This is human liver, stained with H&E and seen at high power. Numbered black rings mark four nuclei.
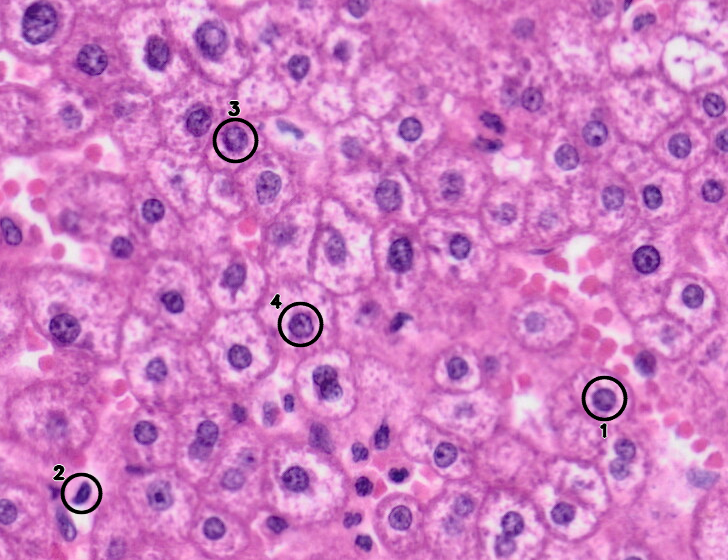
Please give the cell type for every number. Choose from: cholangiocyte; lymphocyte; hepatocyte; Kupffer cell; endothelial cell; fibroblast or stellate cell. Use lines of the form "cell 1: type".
cell 1: hepatocyte
cell 2: lymphocyte
cell 3: hepatocyte
cell 4: hepatocyte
